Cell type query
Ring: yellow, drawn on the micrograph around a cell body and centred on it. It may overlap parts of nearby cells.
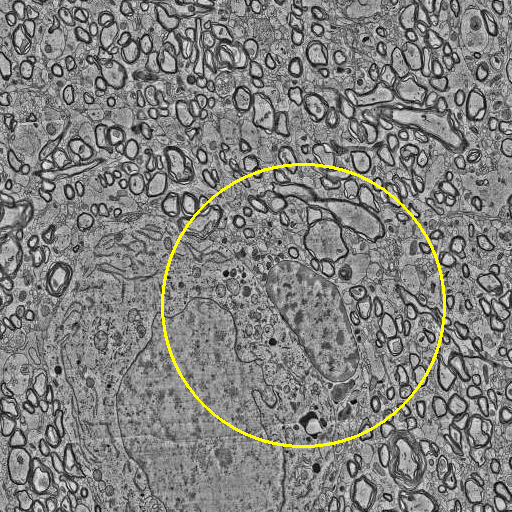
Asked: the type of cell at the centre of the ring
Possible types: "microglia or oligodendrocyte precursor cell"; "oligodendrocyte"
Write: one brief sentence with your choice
The ring marks a microglial cell or oligodendrocyte precursor cell.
